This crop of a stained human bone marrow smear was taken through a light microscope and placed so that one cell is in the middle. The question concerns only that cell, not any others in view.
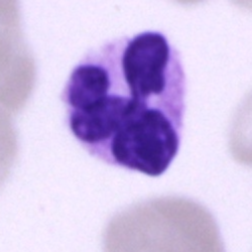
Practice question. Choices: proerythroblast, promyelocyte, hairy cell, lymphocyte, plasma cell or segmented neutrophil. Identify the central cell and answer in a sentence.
The cell in the middle of the field of view is a segmented neutrophil.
